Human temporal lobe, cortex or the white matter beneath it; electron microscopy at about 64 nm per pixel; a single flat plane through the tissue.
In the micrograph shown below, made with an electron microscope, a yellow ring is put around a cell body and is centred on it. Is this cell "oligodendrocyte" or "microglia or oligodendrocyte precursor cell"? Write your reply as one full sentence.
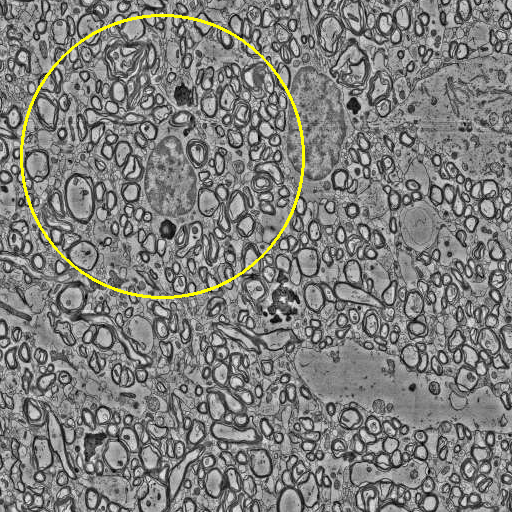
In the micrograph, an oligodendrocyte is the cell at the centre of the yellow ring.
